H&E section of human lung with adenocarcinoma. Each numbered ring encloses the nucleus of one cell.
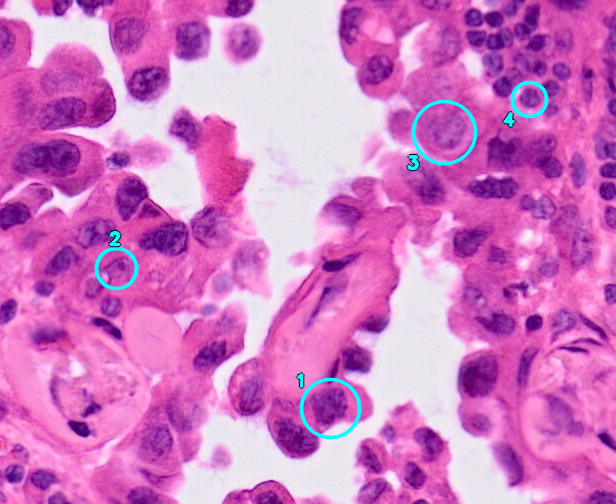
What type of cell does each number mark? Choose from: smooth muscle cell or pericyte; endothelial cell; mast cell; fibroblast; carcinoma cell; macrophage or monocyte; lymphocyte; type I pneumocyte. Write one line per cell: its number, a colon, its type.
1: carcinoma cell
2: carcinoma cell
3: carcinoma cell
4: lymphocyte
